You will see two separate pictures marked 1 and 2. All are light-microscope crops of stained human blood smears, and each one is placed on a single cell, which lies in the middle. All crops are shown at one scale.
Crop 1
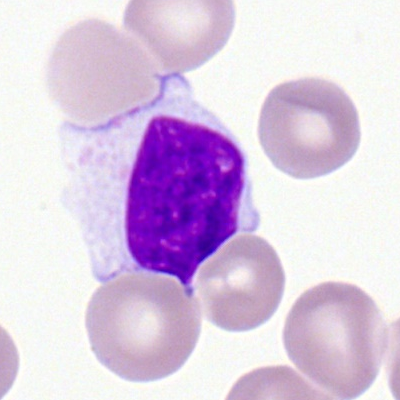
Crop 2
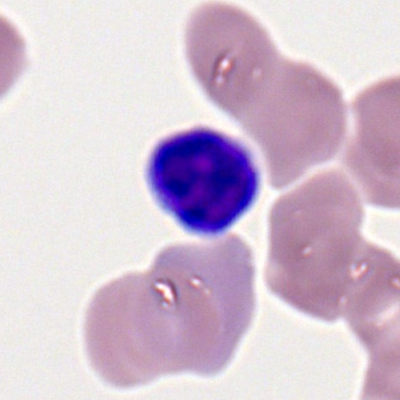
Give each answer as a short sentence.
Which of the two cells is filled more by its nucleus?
In crop 2 the nucleus takes up the larger part of its cell.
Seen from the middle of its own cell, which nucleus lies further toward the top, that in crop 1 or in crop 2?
Seen within its cell, the nucleus in crop 1 lies further toward the top.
